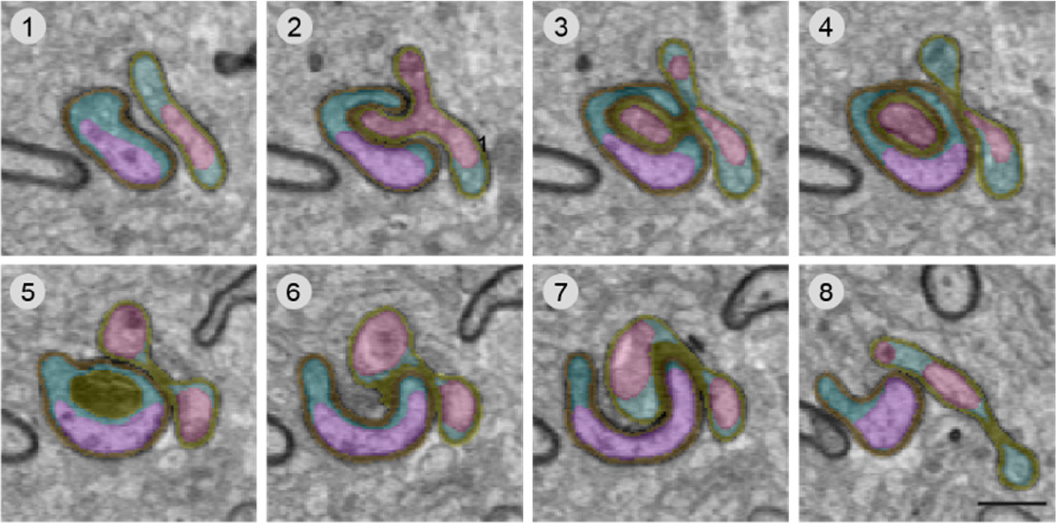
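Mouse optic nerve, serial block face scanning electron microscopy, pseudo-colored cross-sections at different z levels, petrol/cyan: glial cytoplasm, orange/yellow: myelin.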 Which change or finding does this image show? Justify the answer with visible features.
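Two axon profiles each wrapped by a dark sheath. In the middle sections one sheathed profile pushes into and is enveloped by the other. The shapes change from section to section along the series. On this evidence: a myelinated axon bulging into another myelinated axon.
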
